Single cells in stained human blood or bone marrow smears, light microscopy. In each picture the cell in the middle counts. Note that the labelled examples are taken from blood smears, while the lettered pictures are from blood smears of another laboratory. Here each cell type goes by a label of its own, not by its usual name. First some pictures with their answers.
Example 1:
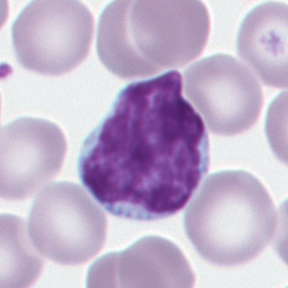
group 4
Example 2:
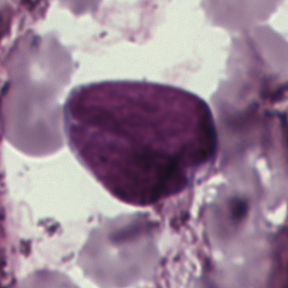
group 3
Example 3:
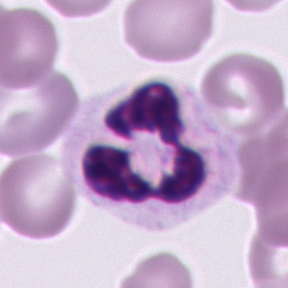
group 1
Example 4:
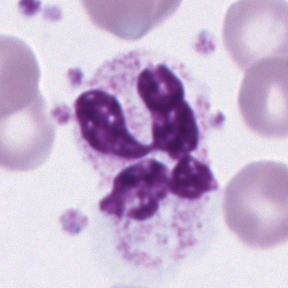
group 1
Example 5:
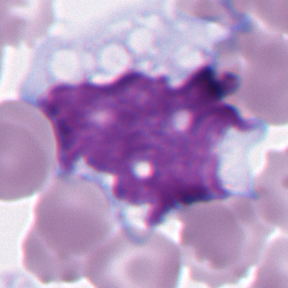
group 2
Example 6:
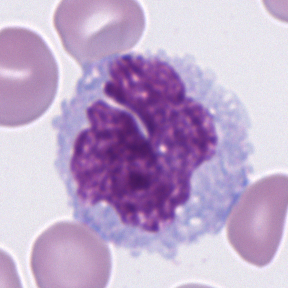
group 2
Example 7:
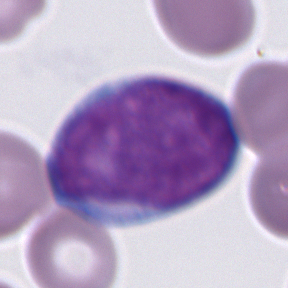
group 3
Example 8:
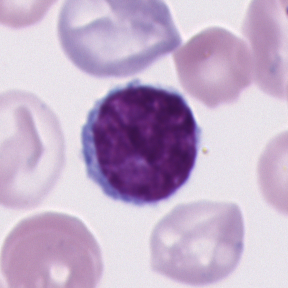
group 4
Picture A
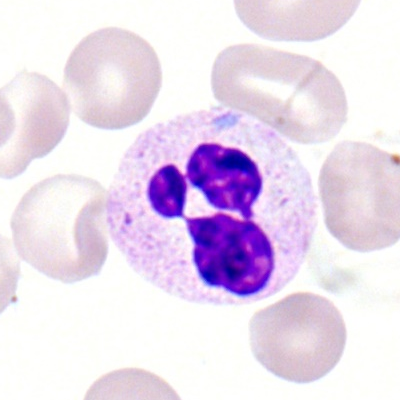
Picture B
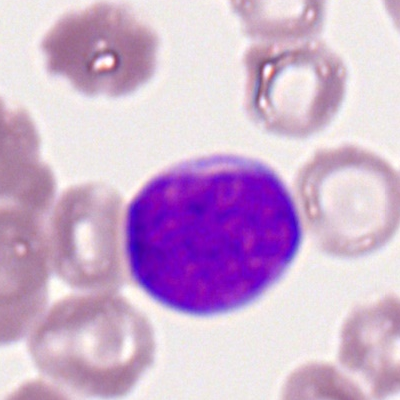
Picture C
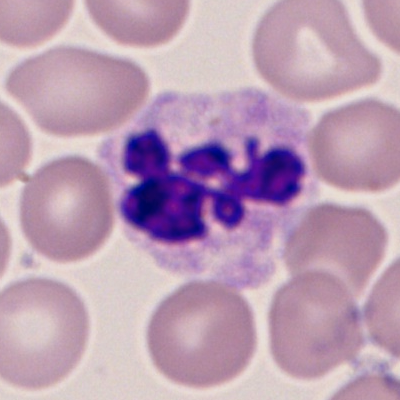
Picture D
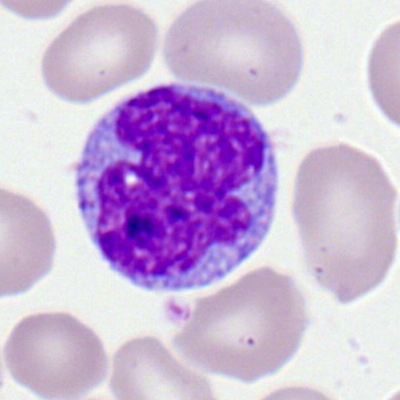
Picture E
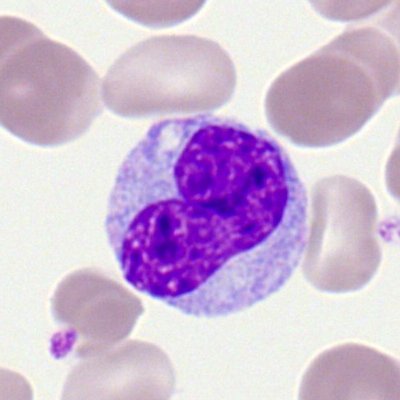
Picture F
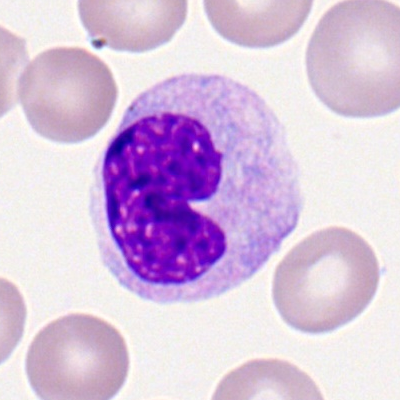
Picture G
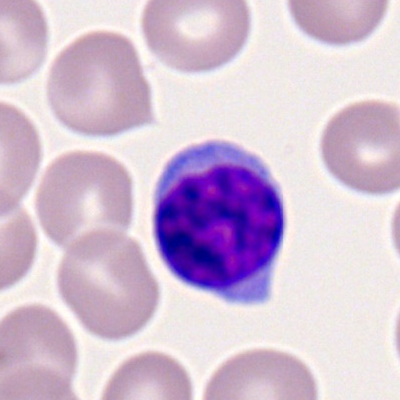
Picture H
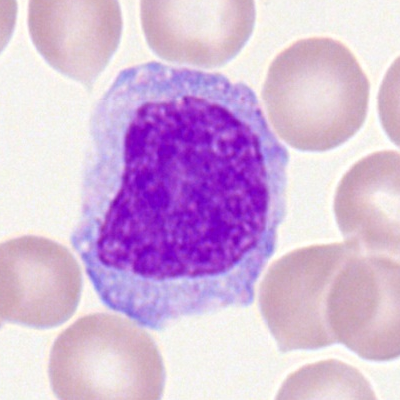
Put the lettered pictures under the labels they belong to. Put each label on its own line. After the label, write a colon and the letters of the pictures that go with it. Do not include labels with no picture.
group 4: G
group 3: B
group 1: A, C
group 2: D, E, F, H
